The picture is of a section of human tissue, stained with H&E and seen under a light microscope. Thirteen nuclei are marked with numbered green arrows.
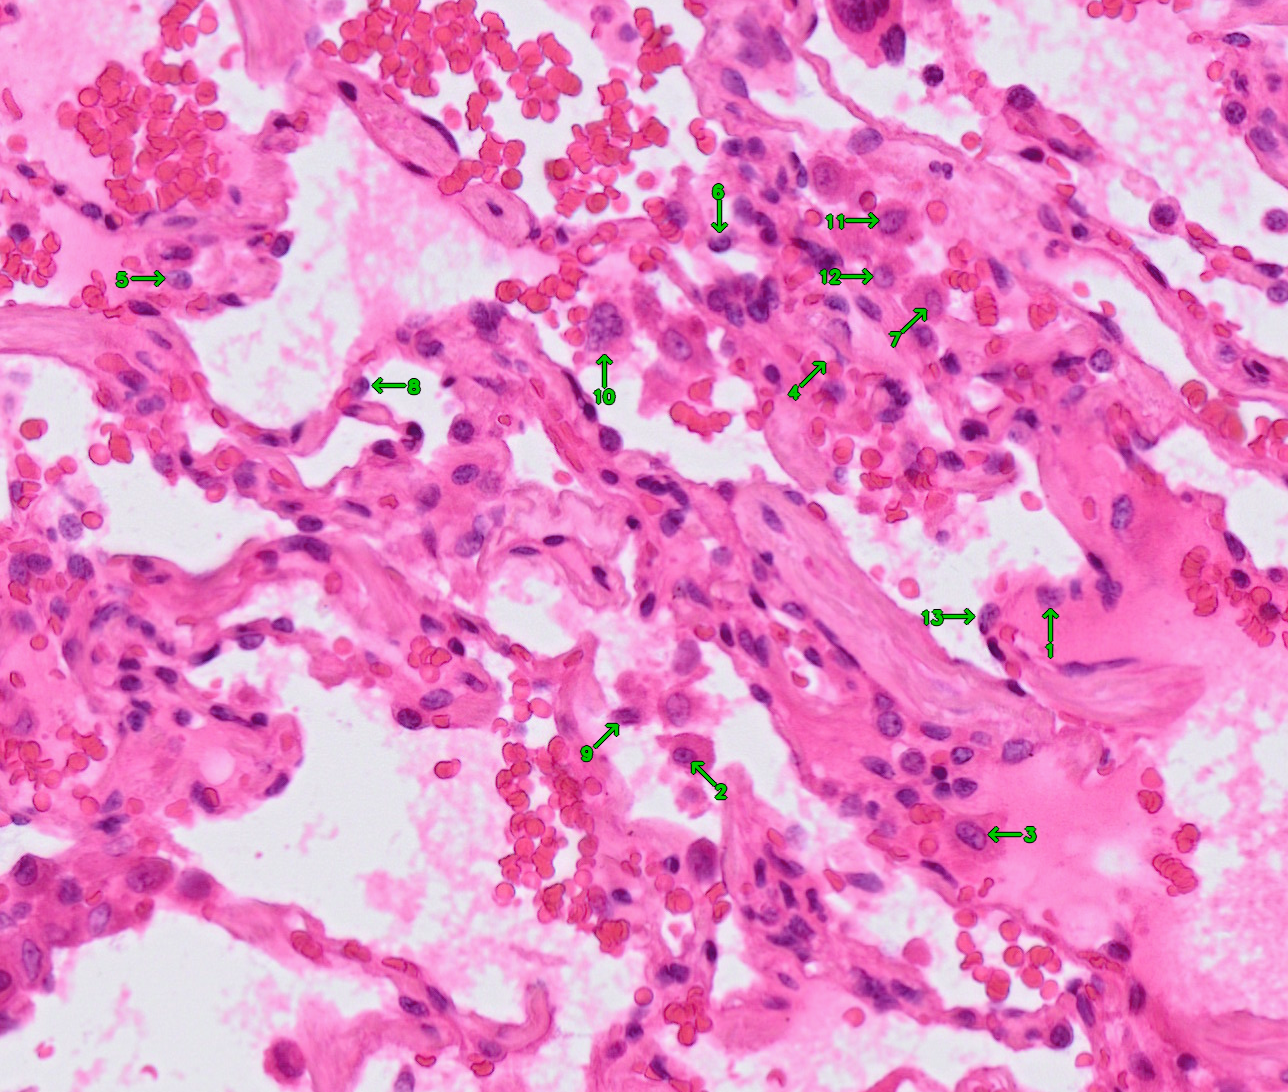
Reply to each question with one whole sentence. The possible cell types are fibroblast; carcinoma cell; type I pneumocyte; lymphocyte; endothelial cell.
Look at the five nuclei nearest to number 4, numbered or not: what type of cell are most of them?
Most of the five nuclei nearest to number 4 are those of fibroblasts.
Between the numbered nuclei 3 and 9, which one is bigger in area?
Nucleus 3 is the larger one, covering about 1.5 times the area of nucleus 9.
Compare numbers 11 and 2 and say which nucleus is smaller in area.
It is nucleus 2; nucleus 11 has about 1.5 times its area.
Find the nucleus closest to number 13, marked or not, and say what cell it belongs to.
The nucleus nearest to number 13 is that of an endothelial cell.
